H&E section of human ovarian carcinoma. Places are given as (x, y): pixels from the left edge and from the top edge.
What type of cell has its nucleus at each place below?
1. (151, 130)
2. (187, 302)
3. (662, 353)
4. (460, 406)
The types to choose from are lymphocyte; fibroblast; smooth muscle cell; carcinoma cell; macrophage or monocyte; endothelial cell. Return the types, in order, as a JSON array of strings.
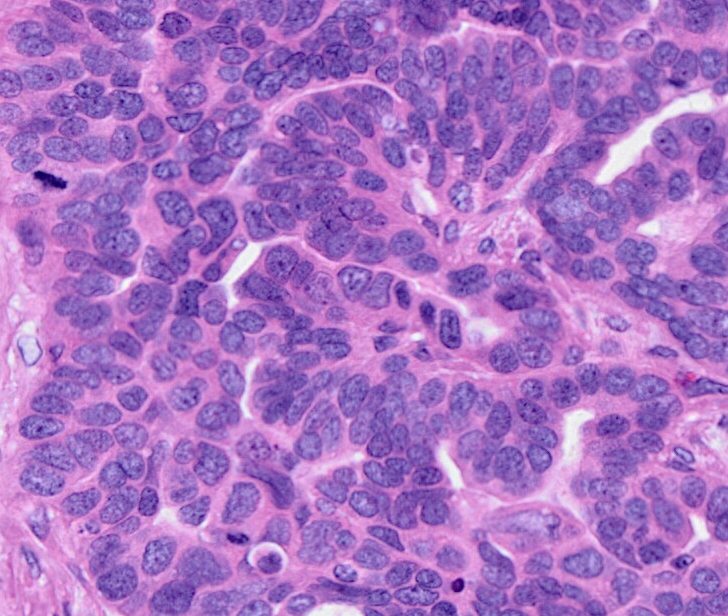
["carcinoma cell", "carcinoma cell", "fibroblast", "carcinoma cell"]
